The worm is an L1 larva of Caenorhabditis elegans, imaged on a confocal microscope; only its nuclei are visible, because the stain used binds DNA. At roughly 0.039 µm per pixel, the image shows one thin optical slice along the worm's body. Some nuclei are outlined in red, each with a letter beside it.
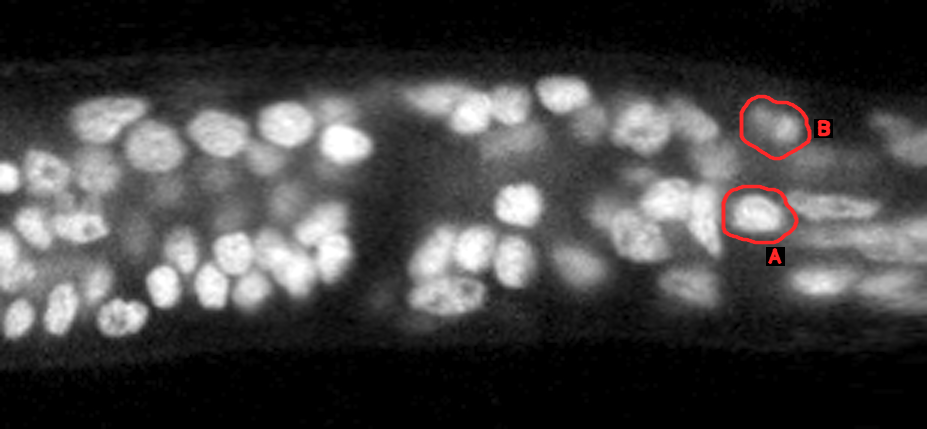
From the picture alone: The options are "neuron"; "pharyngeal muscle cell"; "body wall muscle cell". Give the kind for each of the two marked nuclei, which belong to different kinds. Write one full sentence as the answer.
A is from a neuron, and B is from a body wall muscle cell.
